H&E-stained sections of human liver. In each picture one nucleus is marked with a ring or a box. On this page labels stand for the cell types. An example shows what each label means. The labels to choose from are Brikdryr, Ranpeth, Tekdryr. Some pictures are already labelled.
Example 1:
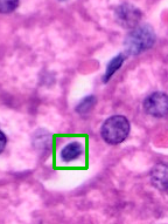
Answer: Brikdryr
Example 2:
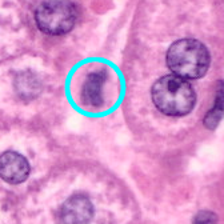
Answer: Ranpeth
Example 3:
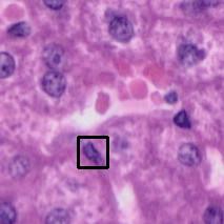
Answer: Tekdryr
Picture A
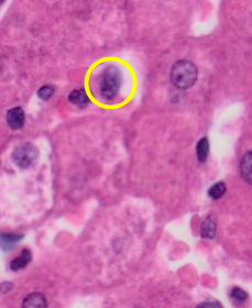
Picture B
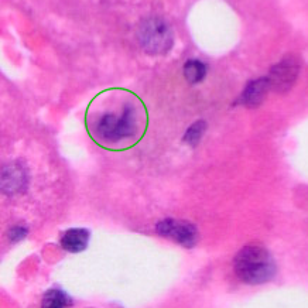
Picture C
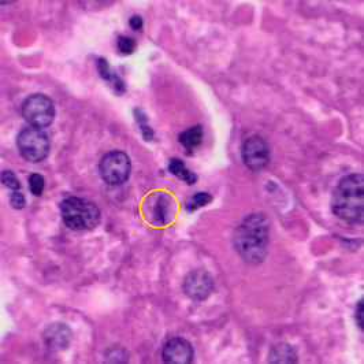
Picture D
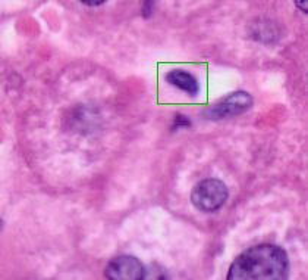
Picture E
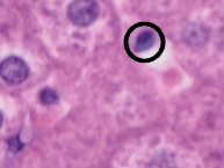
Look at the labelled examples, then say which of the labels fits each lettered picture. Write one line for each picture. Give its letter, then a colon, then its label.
A: Ranpeth
B: Ranpeth
C: Tekdryr
D: Brikdryr
E: Tekdryr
